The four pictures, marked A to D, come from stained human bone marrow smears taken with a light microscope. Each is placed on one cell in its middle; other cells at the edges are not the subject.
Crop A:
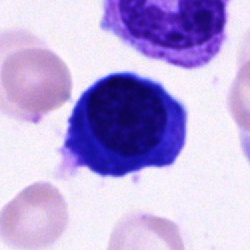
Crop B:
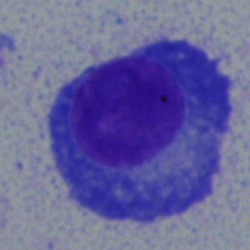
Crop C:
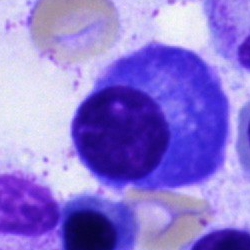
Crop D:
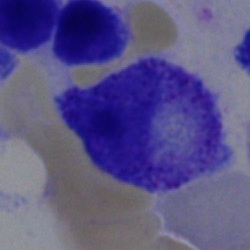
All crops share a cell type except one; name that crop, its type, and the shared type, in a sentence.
Crop D is the odd one out, being a myelocyte, while all the other crops show plasma cells.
